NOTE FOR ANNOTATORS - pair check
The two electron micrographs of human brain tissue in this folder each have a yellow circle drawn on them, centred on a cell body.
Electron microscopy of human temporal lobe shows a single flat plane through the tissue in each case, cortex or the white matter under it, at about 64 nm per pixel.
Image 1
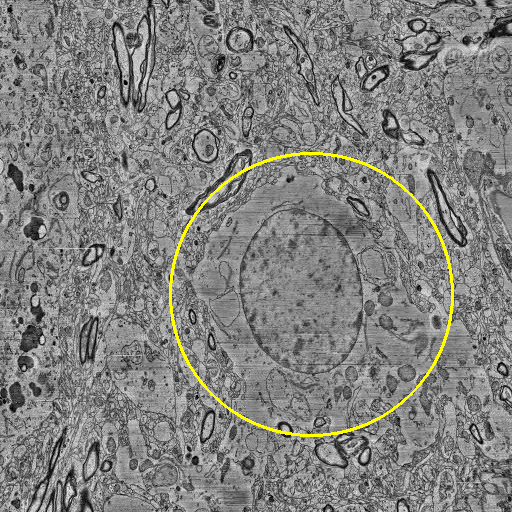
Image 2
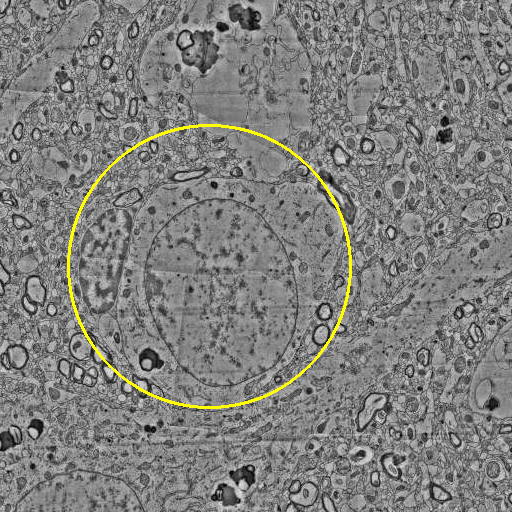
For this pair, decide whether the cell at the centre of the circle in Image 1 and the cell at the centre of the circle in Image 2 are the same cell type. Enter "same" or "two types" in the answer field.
two types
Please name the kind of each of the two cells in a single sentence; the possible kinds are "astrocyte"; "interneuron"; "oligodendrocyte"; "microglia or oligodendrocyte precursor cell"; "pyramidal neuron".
In the first picture the ring is centred on an astrocyte, and in the second on a pyramidal neuron.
